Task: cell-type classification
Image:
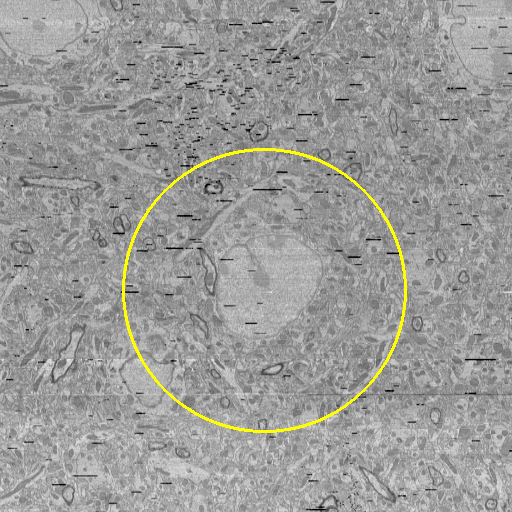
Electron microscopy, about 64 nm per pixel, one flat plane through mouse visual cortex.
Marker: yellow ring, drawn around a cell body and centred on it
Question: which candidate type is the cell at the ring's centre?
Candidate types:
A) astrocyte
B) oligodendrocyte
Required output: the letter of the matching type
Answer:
A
